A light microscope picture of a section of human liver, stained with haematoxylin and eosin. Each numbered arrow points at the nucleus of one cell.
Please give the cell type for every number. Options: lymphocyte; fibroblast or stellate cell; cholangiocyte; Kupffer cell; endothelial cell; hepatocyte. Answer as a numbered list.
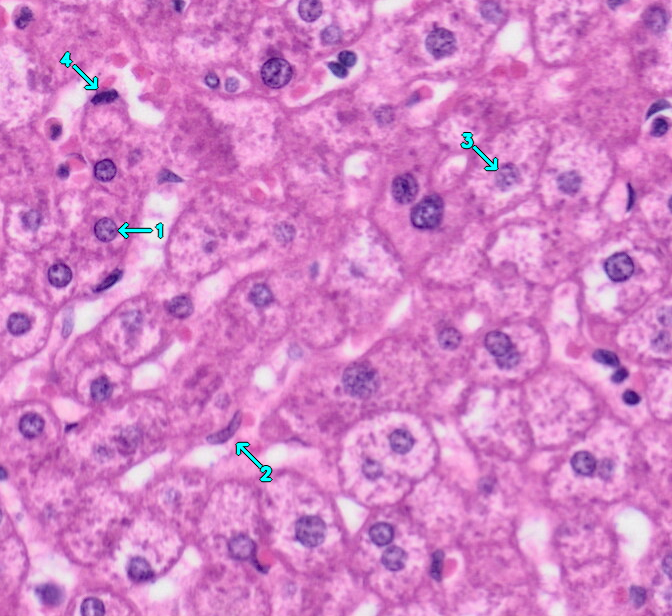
1. hepatocyte
2. Kupffer cell
3. hepatocyte
4. fibroblast or stellate cell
